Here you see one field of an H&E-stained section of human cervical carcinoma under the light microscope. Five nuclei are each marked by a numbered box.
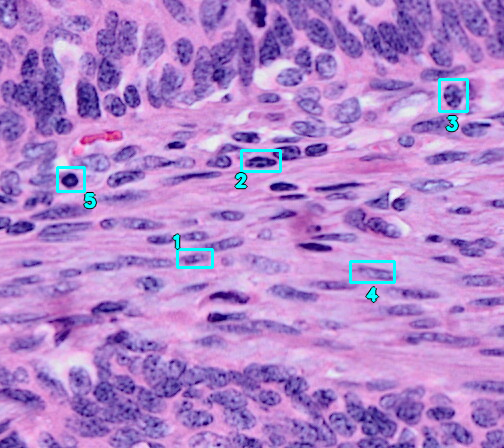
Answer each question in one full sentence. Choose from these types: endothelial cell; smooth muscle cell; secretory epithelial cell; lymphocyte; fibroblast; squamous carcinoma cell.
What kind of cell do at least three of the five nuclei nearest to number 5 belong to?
Fibroblasts account for more than half of the five nuclei nearest to number 5.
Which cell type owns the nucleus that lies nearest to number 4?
The nucleus nearest to number 4 is that of a smooth muscle cell.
